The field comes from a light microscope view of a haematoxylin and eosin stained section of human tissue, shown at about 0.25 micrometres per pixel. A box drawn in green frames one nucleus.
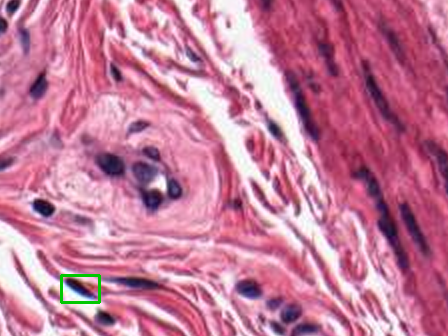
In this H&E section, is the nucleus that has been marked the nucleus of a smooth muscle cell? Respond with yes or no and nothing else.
no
